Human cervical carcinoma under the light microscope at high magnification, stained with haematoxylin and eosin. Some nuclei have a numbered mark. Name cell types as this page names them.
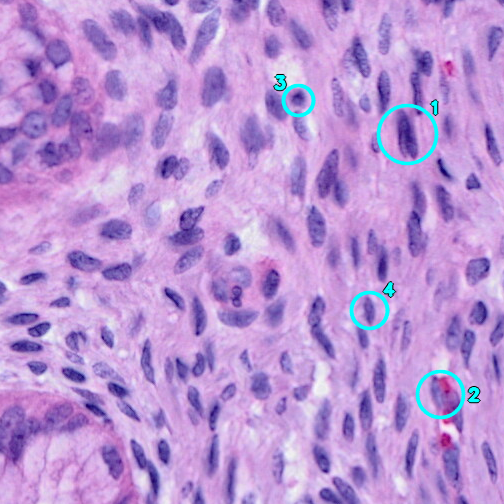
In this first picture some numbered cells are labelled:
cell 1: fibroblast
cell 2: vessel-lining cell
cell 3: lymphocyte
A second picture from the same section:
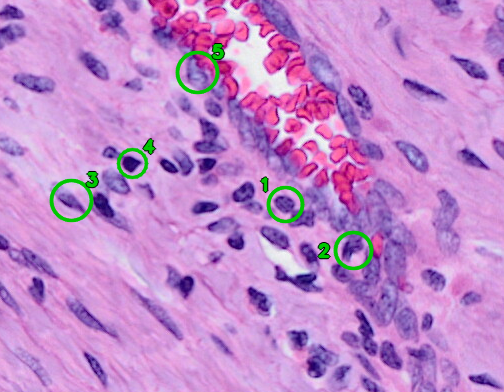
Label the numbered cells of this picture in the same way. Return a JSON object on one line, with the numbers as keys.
{"1": "lymphocyte", "2": "vessel-lining cell", "3": "fibroblast", "4": "lymphocyte", "5": "vessel-lining cell"}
